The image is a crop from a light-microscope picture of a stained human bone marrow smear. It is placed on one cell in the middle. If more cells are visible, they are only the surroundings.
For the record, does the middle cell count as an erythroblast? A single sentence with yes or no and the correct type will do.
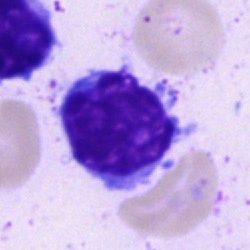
No, this one is a lymphocyte; it is not an erythroblast.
